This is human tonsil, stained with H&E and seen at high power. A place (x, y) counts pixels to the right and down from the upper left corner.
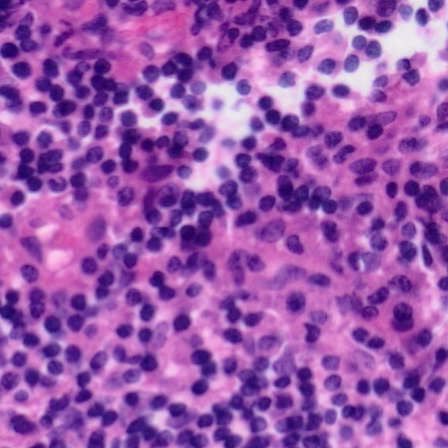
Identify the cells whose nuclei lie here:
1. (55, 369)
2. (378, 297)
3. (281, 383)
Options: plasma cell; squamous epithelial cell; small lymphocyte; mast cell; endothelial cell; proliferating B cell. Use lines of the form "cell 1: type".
cell 1: small lymphocyte
cell 2: plasma cell
cell 3: small lymphocyte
